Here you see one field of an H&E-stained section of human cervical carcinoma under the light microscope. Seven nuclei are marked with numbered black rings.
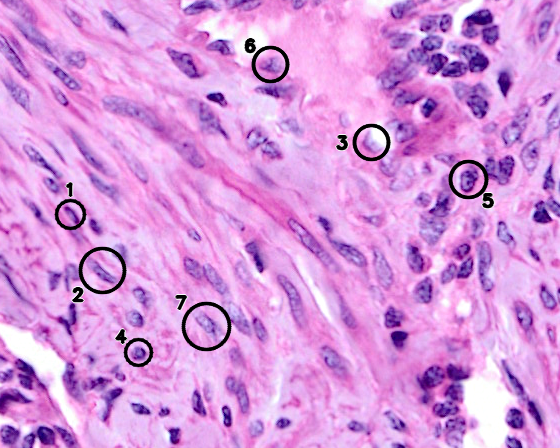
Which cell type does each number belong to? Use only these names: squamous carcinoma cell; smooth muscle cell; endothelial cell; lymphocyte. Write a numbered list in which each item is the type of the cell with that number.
1. smooth muscle cell
2. smooth muscle cell
3. endothelial cell
4. smooth muscle cell
5. lymphocyte
6. endothelial cell
7. smooth muscle cell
